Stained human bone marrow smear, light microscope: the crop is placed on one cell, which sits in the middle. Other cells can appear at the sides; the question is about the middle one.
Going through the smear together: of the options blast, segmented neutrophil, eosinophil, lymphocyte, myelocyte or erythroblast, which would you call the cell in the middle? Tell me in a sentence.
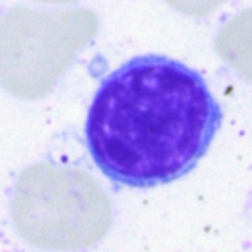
By classification, the middle cell of this crop is a lymphocyte.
